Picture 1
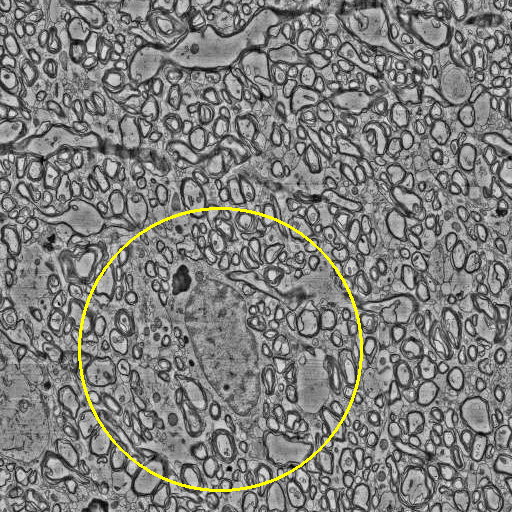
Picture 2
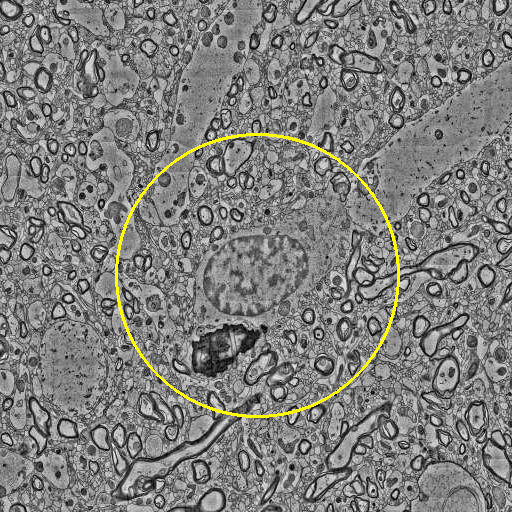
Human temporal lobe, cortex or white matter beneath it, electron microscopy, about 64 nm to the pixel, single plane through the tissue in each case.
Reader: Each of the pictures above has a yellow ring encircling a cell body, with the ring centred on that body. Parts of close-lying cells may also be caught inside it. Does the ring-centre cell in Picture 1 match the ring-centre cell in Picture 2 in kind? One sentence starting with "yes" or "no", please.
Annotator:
Yes, Picture 1 and Picture 2 show ring-centre cells of a single kind.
